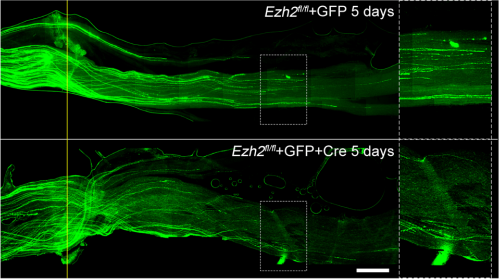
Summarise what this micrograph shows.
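Two long nerve strips are filled with fine, wavy green fibres running in parallel bundles from the left, crossing a yellow vertical line and continuing far along the nerve before ending one by one. Enlarged boxes at right show the sparse fibre ends far from the line.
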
